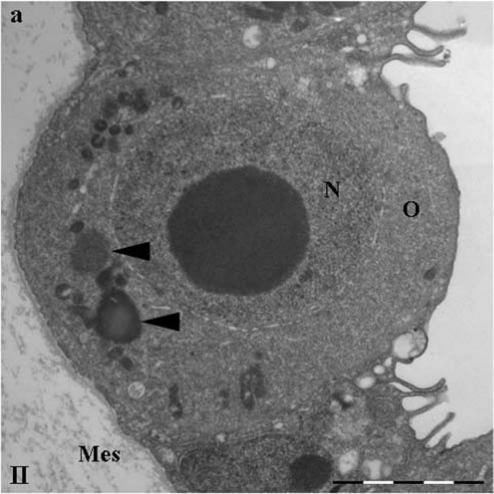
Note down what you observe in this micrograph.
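The surrounding cytoplasm is finely granular and holds scattered small dense bodies and a few larger round granules on the left side. A pale, fibrous extracellular layer borders the cell on the left.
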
